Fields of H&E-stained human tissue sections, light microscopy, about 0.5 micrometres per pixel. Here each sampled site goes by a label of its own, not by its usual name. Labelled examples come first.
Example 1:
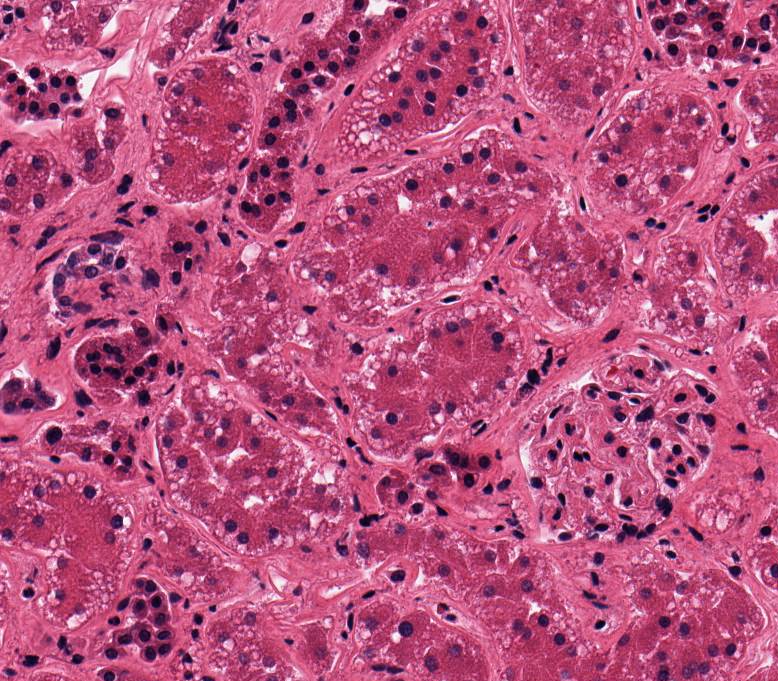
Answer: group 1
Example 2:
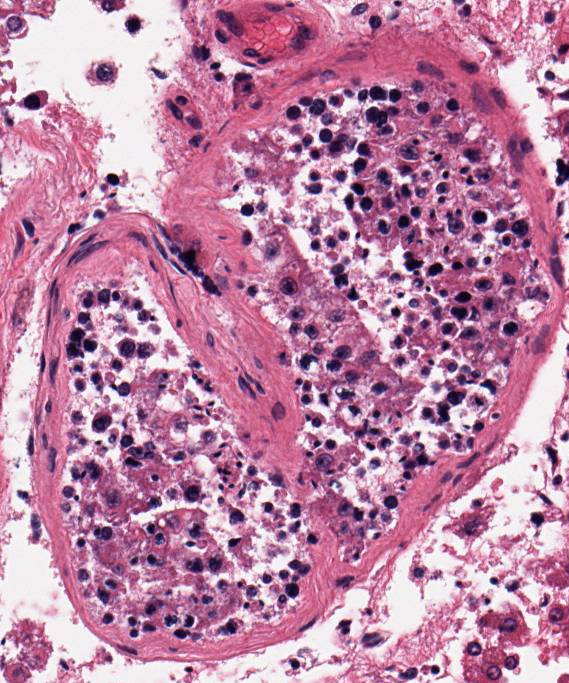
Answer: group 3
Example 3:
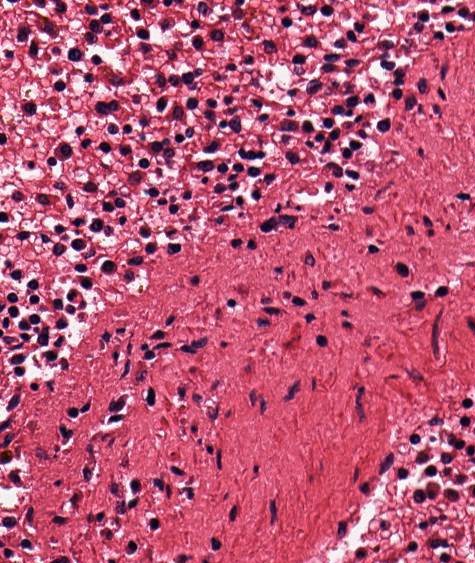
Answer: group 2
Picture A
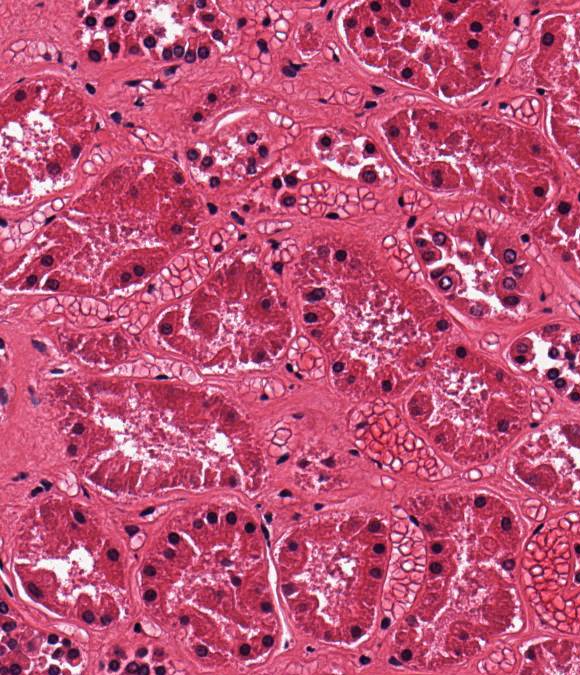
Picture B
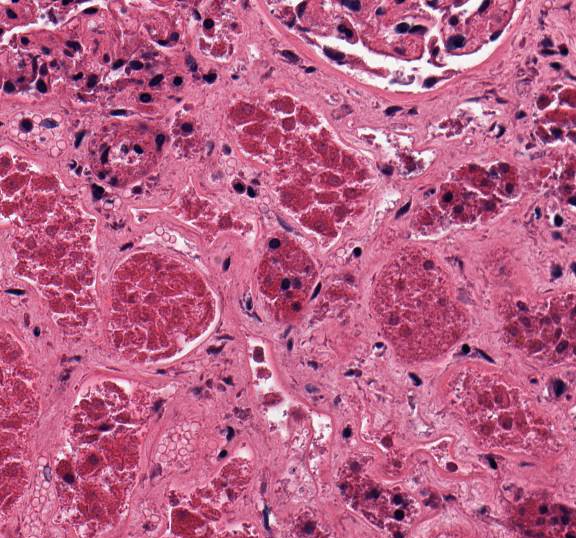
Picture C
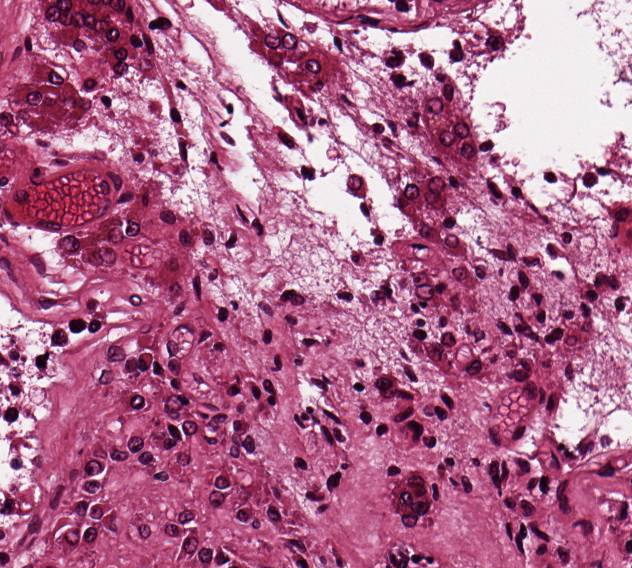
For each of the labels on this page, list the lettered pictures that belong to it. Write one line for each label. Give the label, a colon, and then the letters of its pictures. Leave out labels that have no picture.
group 1: A, B
group 3: C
